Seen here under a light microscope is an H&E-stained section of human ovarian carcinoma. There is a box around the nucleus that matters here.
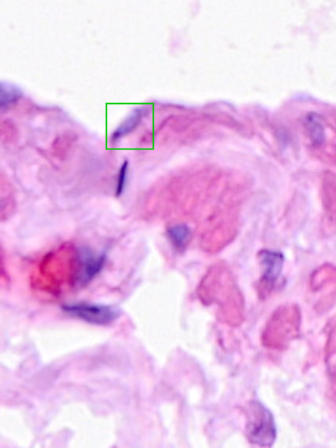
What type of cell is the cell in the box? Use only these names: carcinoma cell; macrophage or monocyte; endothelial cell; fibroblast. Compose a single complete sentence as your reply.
The cell type of the cell in the box is that of an endothelial cell.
